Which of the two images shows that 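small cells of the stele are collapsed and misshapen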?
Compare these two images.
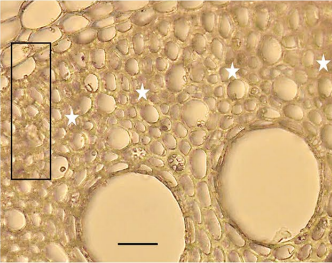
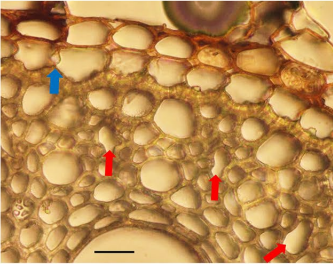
The second image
